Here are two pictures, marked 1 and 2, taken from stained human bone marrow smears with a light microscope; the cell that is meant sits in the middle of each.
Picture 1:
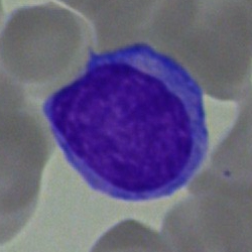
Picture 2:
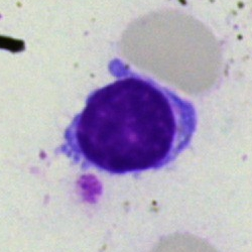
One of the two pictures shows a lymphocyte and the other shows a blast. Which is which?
1: blast
2: lymphocyte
